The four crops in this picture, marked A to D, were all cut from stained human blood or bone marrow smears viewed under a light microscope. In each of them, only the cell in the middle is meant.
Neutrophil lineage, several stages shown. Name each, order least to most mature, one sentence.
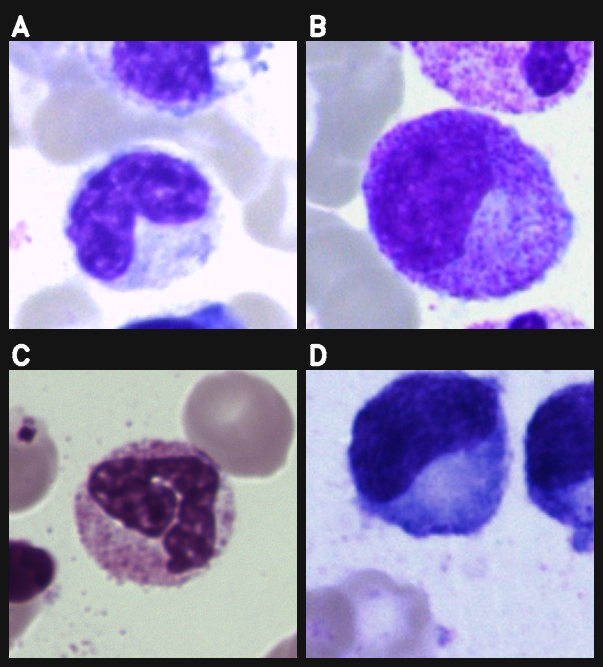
The series, from least to most mature, is crop D (a promyelocyte), crop B (a myelocyte), crop A (a band neutrophil) and crop C (a segmented neutrophil).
